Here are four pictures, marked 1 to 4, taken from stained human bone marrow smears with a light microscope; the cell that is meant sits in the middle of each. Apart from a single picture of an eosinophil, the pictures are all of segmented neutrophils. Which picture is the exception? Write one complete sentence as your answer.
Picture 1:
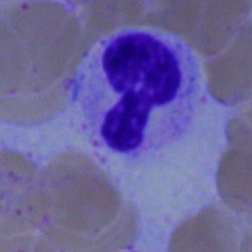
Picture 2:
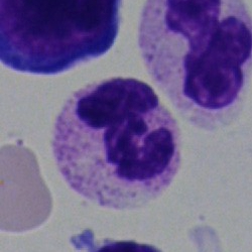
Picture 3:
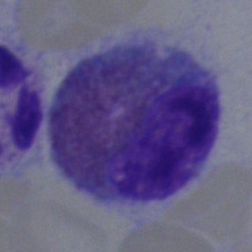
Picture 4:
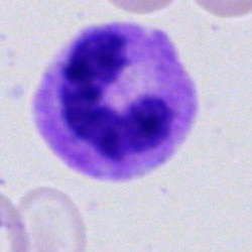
The picture with the eosinophil is 3.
